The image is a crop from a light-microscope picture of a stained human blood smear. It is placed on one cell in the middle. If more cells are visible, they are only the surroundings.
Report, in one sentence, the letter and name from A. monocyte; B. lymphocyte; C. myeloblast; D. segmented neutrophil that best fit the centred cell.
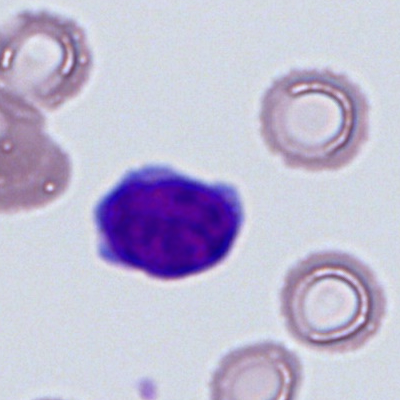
The middle cell of the crop is a lymphocyte; accordingly, option B is correct.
